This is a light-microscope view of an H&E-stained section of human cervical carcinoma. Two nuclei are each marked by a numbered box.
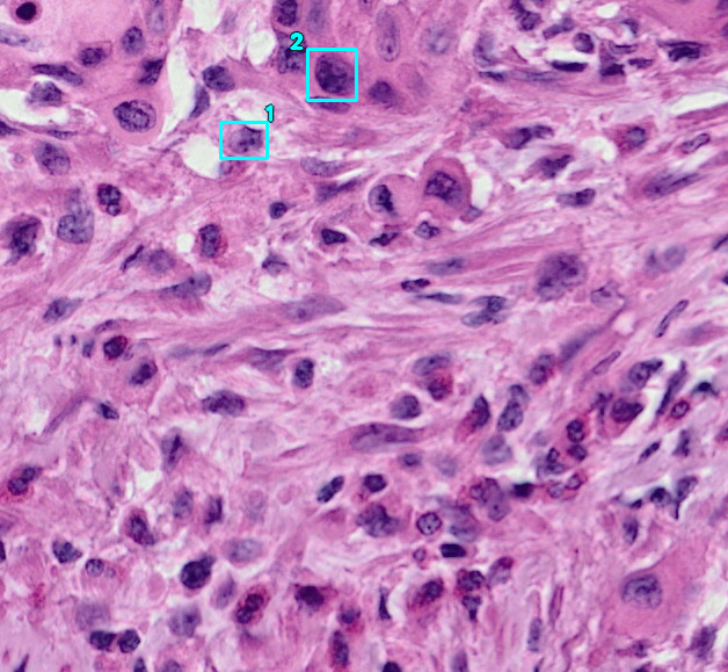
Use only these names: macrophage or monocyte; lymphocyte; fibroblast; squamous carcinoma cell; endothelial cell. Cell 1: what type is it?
macrophage or monocyte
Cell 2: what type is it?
squamous carcinoma cell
